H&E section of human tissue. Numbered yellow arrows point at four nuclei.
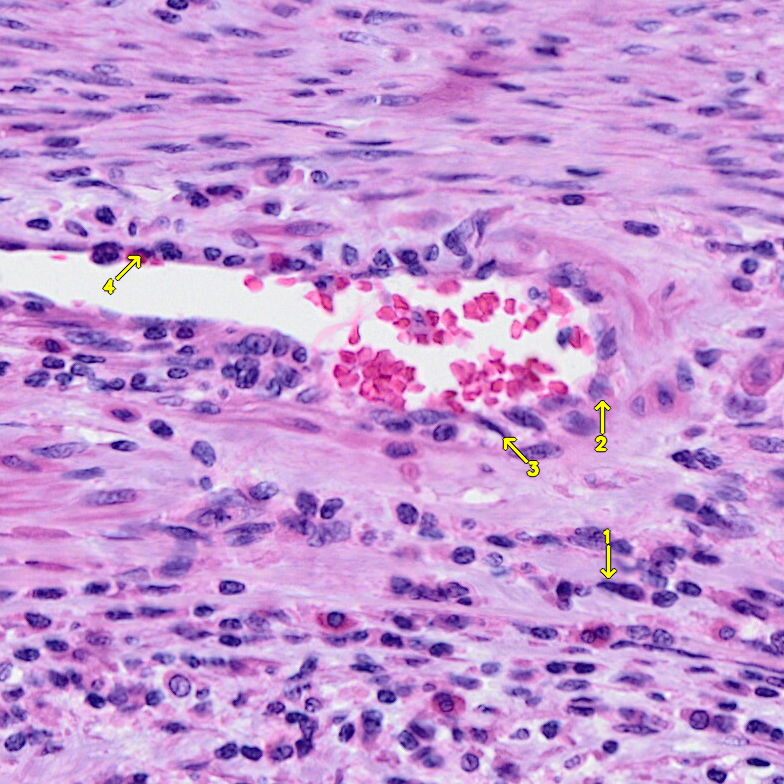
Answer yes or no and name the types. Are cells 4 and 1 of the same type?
No, cell number 4 is an endothelial cell and cell number 1 is a lymphocyte.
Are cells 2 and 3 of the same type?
Yes, cells 2 and 3 are endothelial cells, the two of them alike.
